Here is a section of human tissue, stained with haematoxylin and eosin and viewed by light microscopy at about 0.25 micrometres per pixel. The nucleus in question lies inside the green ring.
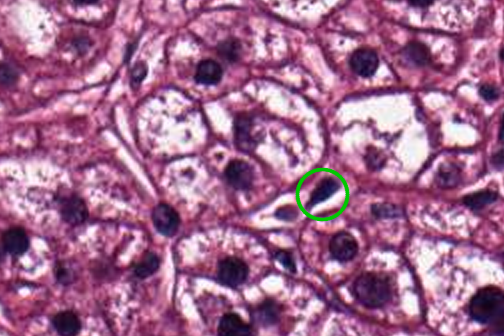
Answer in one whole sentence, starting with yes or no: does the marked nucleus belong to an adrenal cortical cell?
No, the marked nucleus has its place in a supporting cell rather than in an adrenal cortical cell.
